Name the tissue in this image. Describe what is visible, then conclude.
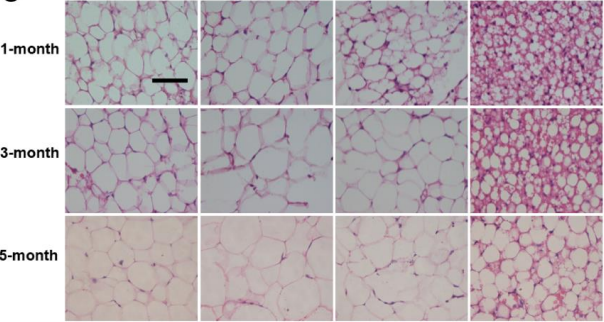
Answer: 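Most fields show large empty polygonal cells with thin pink rims. One column shows smaller cells with many small vacuoles and denser pink cytoplasm.
Hence: white and brown adipose tissues.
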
